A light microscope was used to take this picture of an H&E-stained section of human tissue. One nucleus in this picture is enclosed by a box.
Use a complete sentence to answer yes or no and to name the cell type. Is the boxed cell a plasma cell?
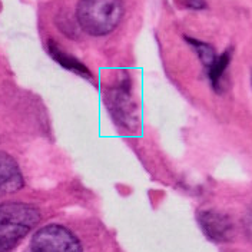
No, for the boxed cell the correct label is a carcinoma cell and not a plasma cell.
